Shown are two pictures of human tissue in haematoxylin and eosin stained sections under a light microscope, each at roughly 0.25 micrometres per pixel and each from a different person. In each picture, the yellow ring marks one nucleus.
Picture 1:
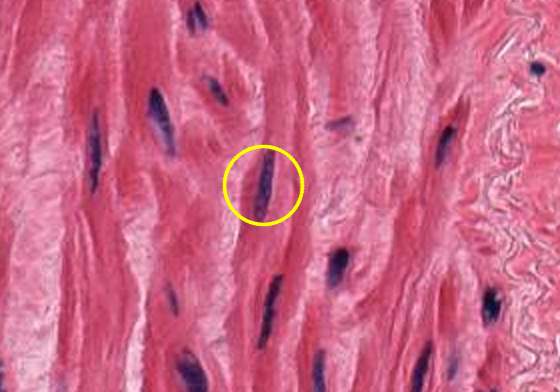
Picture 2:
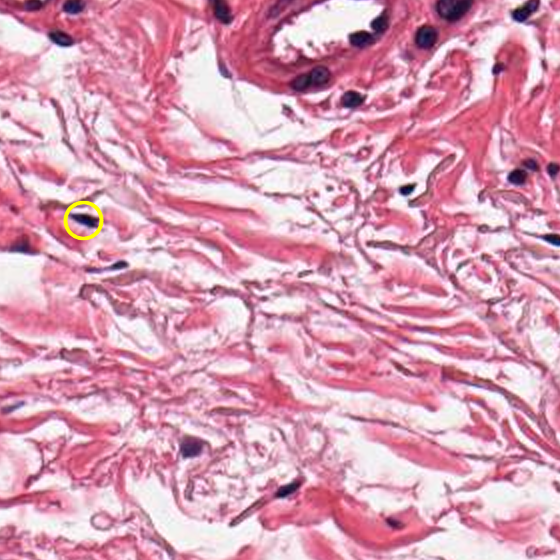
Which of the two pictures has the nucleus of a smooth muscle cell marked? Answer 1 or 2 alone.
1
